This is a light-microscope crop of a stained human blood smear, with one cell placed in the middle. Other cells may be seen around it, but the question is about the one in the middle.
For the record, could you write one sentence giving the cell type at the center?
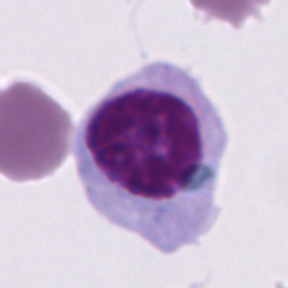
Among the cells in view, the one in the middle is a hairy cell.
